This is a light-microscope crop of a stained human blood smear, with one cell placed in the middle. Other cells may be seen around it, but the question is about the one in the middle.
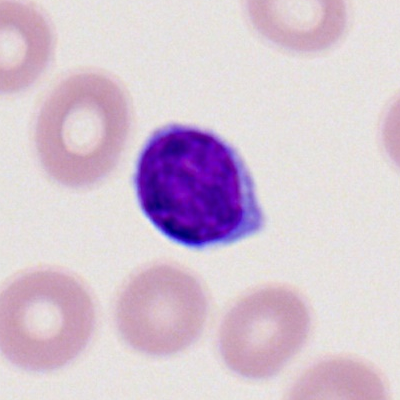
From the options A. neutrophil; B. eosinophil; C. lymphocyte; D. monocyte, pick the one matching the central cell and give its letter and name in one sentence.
The central cell in this crop is a lymphocyte, so the correct choice is option C.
